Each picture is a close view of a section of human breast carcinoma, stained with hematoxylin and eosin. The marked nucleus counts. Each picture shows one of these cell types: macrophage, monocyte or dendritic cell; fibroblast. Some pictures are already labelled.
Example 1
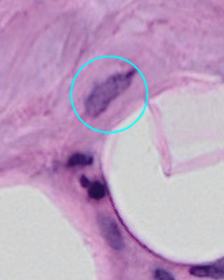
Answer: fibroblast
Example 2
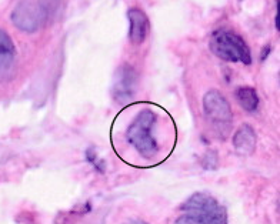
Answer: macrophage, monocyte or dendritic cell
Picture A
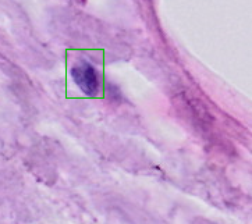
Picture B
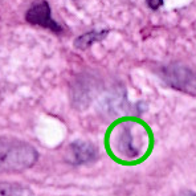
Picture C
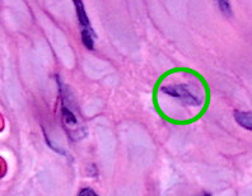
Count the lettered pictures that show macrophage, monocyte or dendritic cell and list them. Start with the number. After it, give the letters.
Count: 1 (B)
